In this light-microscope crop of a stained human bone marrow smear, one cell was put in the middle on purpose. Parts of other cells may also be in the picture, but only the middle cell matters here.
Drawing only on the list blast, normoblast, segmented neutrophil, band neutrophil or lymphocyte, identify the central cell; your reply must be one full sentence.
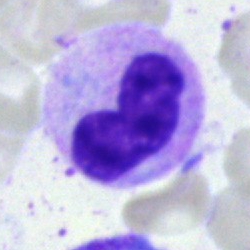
For this crop, the cell in the middle is a band neutrophil.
